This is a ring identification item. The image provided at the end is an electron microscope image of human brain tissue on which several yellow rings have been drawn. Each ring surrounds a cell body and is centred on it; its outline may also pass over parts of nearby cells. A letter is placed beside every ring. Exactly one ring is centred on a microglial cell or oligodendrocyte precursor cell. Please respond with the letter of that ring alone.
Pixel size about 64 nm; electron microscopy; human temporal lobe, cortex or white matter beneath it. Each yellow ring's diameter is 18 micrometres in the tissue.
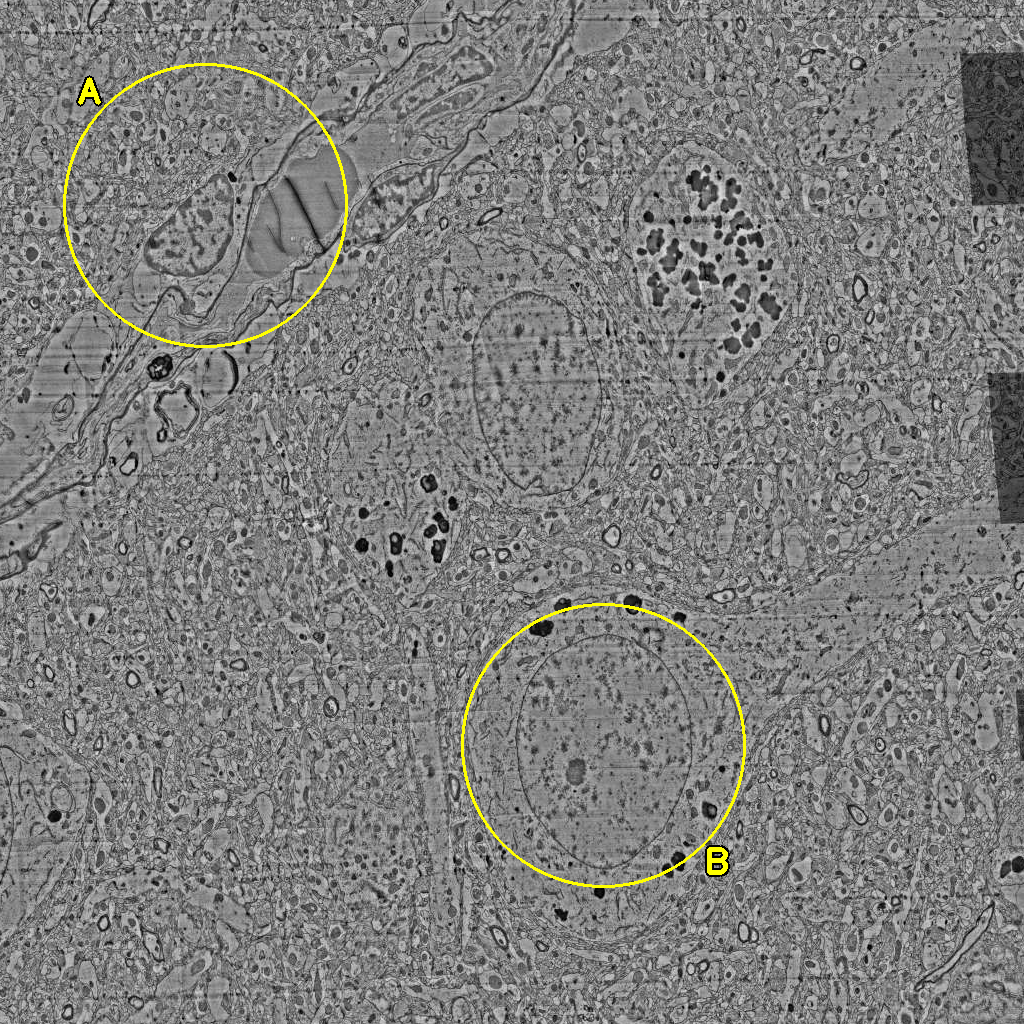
A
